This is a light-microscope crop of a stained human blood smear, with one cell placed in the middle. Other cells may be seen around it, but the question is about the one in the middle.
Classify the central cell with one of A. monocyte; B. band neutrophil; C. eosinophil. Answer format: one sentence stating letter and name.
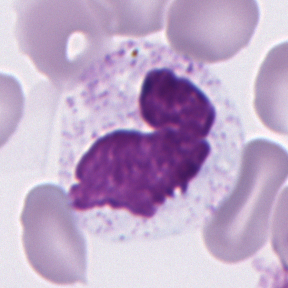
According to option B, which is correct, the cell in the middle is a band neutrophil.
